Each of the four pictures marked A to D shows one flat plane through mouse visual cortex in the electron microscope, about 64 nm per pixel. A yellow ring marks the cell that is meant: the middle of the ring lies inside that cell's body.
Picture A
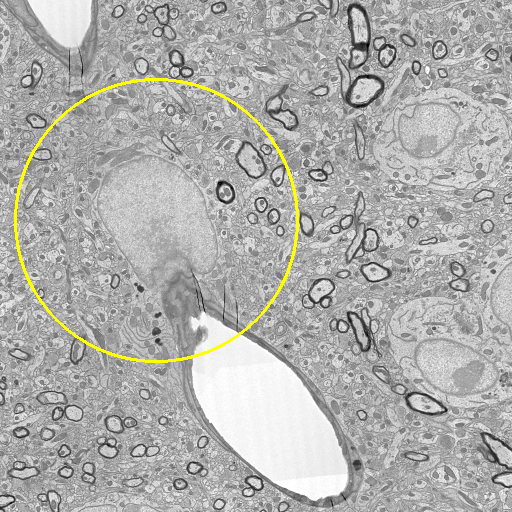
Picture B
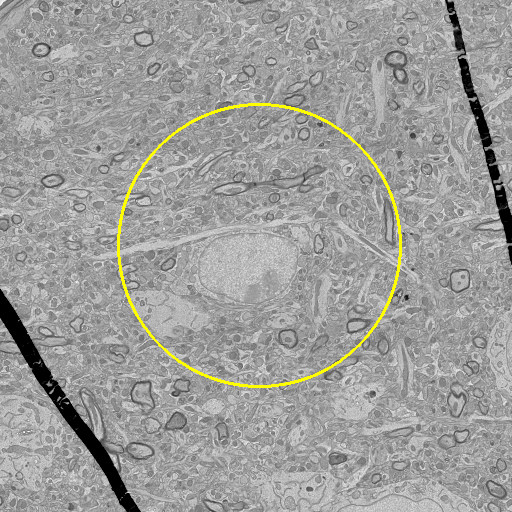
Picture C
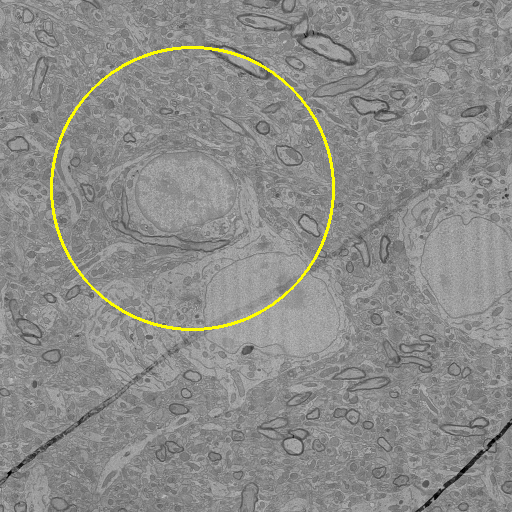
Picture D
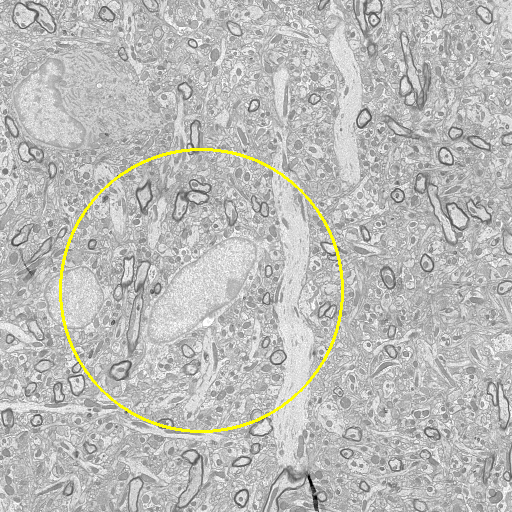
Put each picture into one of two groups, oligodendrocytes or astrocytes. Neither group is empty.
Picture C shows an oligodendrocyte, while pictures A, B and D show astrocytes.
